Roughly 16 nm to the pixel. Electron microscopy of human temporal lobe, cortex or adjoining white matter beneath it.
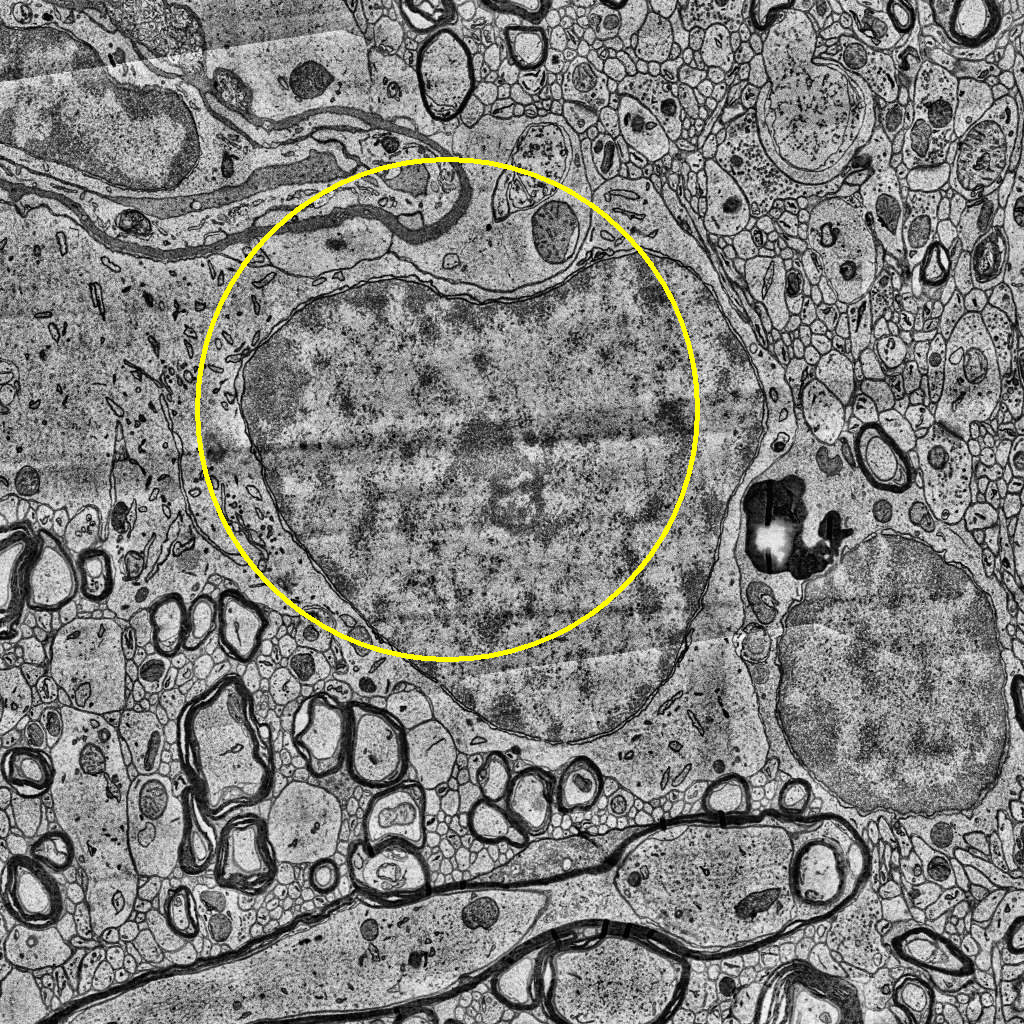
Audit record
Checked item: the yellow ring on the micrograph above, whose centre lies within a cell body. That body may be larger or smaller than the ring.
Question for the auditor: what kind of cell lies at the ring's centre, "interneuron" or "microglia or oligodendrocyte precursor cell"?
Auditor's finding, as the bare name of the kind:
microglia or oligodendrocyte precursor cell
